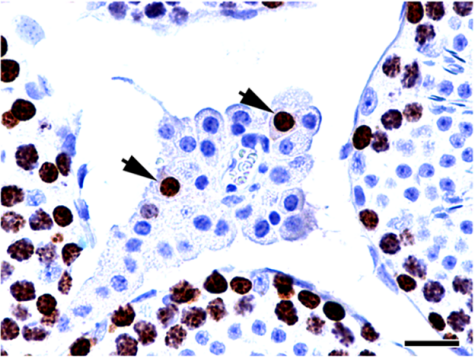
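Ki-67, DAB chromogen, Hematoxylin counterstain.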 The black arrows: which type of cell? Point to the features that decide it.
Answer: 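The arrowed cells lie in the space between seminiferous tubule profiles, not inside a tubule. They belong to a cluster of polygonal cells with round central nuclei and ample pale cytoplasm. The nuclei of the arrowed cells are stained dark brown.
Hence: Leydig cells.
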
